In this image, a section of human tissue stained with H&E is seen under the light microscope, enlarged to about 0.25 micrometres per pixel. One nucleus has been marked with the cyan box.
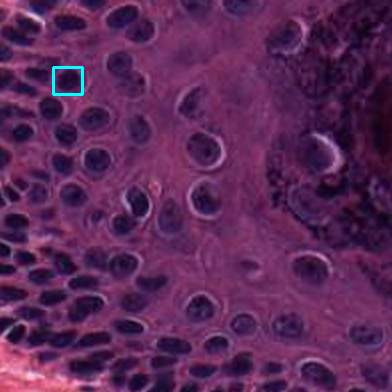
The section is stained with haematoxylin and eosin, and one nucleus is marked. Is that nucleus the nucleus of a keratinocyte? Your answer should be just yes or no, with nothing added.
yes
